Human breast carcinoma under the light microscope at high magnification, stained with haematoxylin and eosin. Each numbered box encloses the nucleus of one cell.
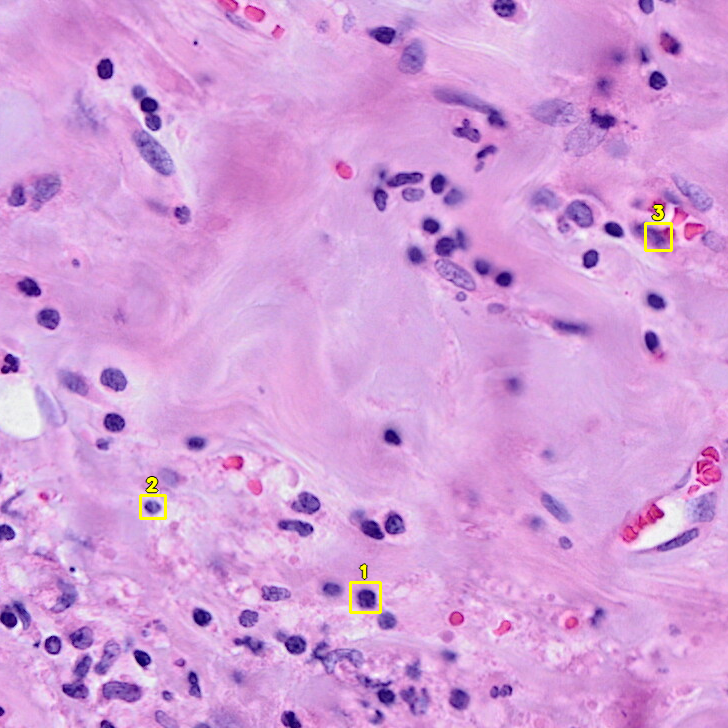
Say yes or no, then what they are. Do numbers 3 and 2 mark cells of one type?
No, a lymphocyte is what cell 2 is, while cell 3 is an endothelial cell.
